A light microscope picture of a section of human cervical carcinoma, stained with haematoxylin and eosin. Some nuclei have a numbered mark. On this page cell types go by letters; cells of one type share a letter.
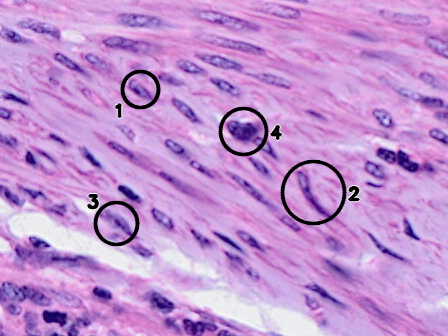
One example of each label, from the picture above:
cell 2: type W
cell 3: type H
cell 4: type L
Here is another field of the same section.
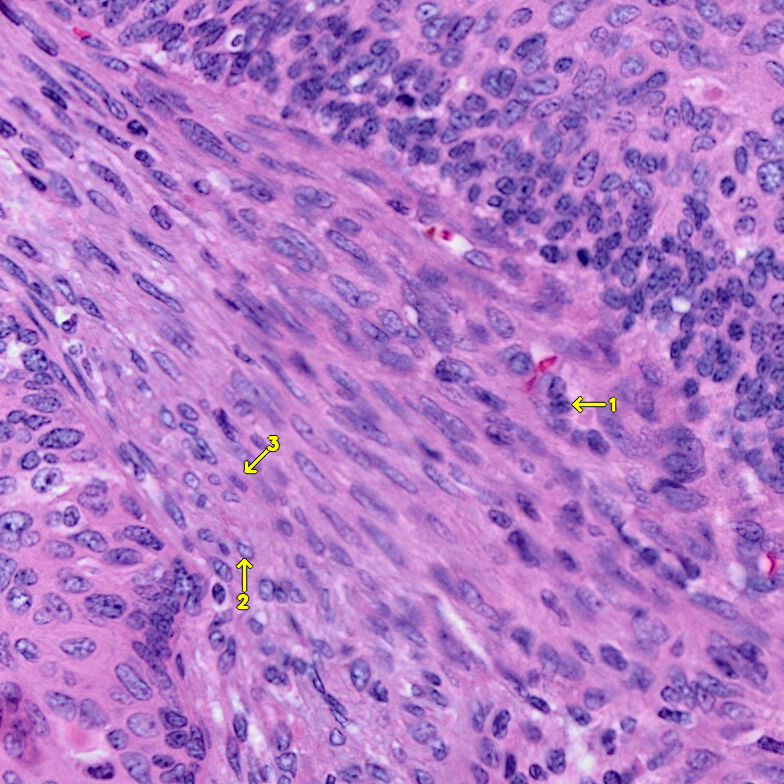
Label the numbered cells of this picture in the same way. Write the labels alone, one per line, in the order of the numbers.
type L
type W
type W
